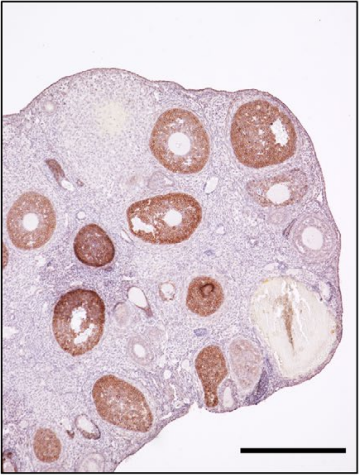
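The larger follicles consist of thick, multilayered walls of brown-stained cells, many enclosing an irregular pale cavity and in some a round central cell. Smaller follicles with a single round central cell and a thin, lightly stained surrounding layer lie between them. One large pale structure at the right edge stains mostly unstained yellowish-white.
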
